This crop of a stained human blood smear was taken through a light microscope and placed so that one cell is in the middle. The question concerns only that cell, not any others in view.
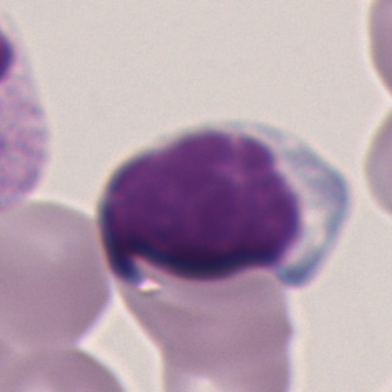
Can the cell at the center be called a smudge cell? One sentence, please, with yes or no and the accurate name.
No, the cell found centrally in the crop is a typical lymphocyte, not a smudge cell.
